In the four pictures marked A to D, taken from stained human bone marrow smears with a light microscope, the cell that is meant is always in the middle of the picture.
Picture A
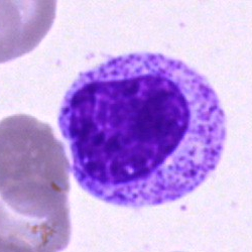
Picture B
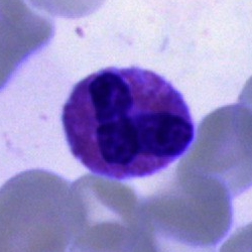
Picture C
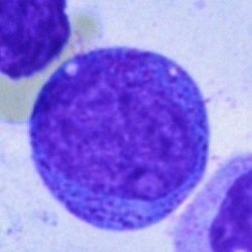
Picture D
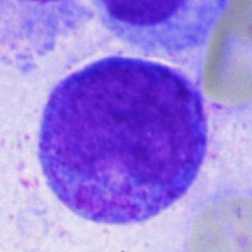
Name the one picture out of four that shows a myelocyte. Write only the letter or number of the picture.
A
